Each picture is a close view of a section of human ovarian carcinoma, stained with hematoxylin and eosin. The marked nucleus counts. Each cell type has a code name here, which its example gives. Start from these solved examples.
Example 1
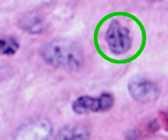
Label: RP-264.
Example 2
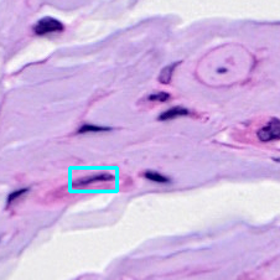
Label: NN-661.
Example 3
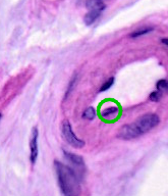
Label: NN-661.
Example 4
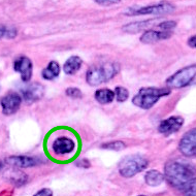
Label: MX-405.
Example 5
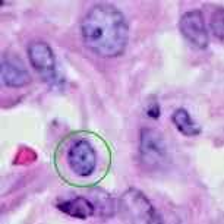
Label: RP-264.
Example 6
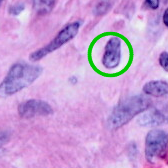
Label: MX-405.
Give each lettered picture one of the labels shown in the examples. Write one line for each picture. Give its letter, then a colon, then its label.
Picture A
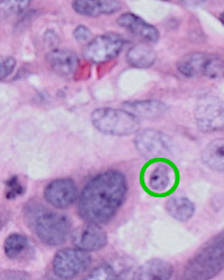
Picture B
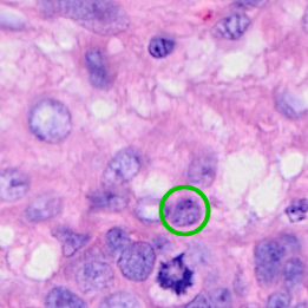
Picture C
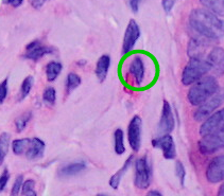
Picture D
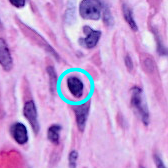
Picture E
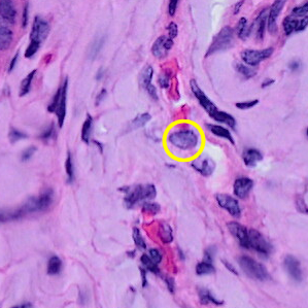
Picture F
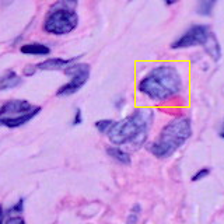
A: RP-264.
B: RP-264.
C: NN-661.
D: MX-405.
E: NN-661.
F: NN-661.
